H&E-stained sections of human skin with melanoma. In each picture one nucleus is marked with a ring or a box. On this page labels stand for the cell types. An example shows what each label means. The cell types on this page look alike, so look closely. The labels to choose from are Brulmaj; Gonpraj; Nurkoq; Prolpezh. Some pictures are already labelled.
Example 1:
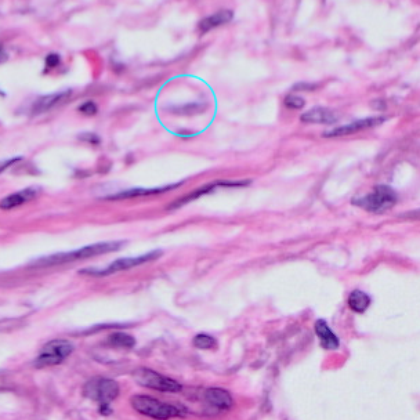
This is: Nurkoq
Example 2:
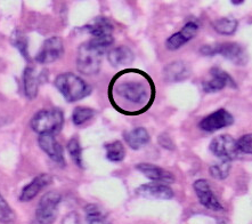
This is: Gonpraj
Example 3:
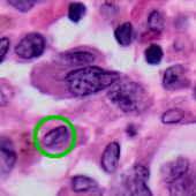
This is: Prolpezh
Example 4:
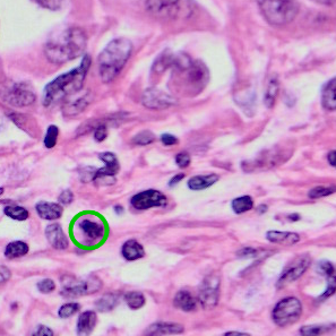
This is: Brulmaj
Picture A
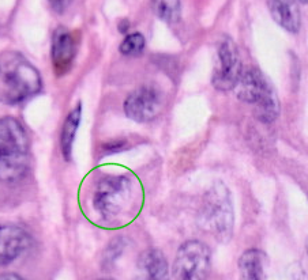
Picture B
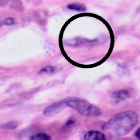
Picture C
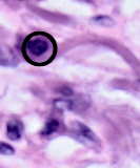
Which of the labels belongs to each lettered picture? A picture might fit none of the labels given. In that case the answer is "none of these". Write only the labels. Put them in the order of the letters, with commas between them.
Gonpraj, Nurkoq, Brulmaj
